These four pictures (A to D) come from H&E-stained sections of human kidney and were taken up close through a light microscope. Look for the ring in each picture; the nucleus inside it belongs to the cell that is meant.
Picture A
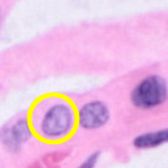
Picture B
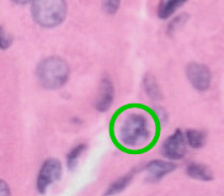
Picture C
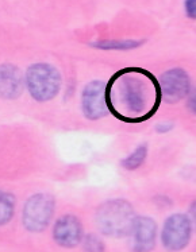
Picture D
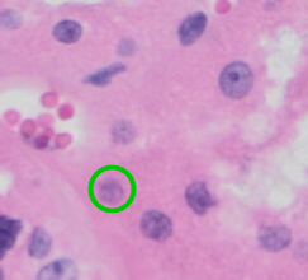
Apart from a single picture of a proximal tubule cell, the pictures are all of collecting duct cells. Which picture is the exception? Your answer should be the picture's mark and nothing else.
D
